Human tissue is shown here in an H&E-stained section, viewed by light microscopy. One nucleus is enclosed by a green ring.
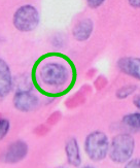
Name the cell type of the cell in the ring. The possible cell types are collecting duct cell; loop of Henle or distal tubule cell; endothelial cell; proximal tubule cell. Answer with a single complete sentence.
Cytologically, the cell in the ring is to be regarded as a collecting duct cell.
